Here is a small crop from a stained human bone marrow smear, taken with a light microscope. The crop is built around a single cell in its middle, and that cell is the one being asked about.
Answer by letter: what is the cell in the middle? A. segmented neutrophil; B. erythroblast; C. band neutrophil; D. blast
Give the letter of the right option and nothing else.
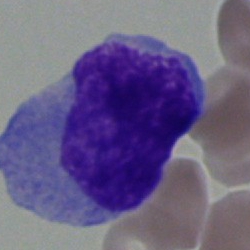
D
